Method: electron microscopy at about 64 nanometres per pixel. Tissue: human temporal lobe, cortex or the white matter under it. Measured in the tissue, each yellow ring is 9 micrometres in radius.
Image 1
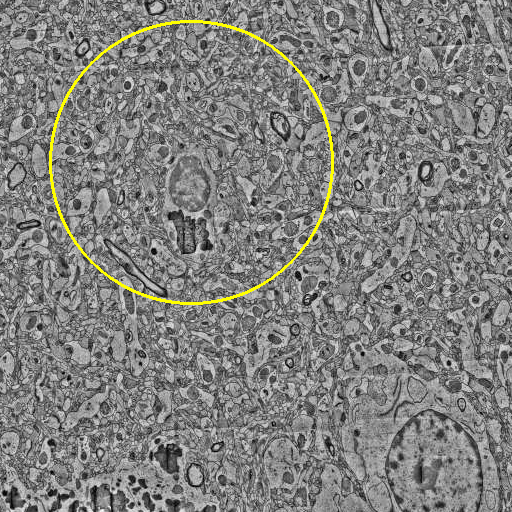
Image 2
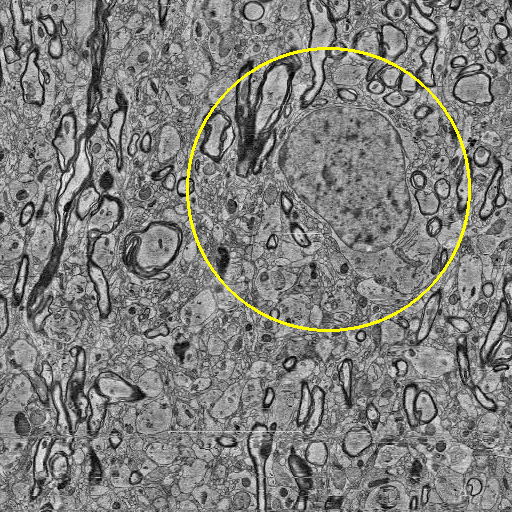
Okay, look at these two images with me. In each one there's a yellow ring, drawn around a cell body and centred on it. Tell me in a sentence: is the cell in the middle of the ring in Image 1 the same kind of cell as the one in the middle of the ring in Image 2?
No, they're two kinds of cell.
